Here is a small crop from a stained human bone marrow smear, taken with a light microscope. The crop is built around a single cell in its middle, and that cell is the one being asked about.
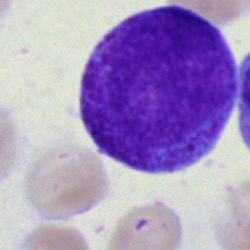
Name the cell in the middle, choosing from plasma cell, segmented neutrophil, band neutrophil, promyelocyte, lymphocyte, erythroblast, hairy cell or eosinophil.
promyelocyte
